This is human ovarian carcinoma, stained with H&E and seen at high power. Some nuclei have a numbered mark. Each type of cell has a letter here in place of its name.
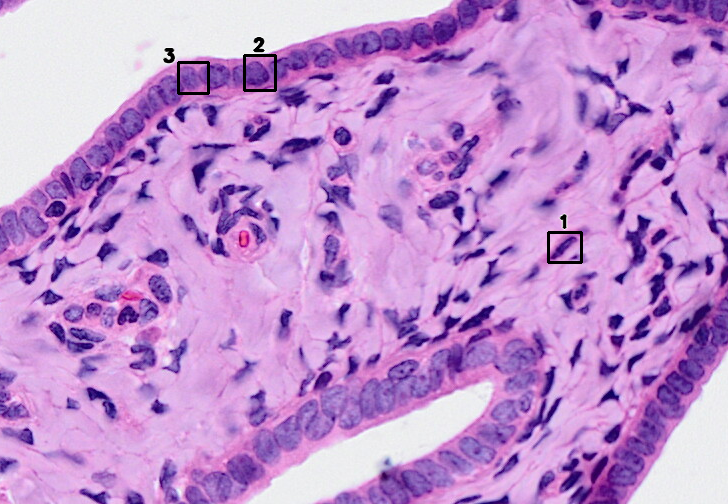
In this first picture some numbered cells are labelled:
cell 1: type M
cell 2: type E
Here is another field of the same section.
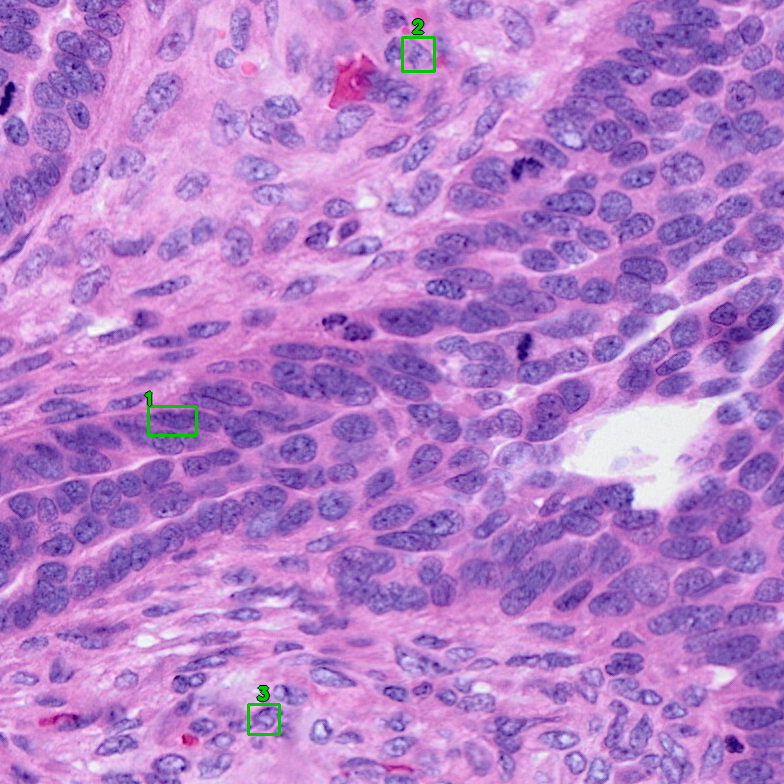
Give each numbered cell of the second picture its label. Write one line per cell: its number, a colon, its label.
1: type E
2: type M
3: type M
